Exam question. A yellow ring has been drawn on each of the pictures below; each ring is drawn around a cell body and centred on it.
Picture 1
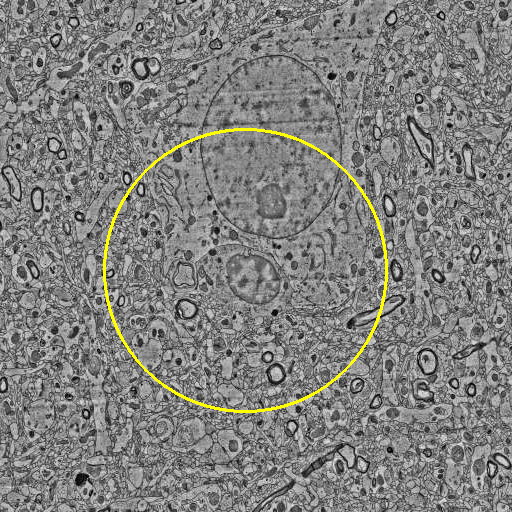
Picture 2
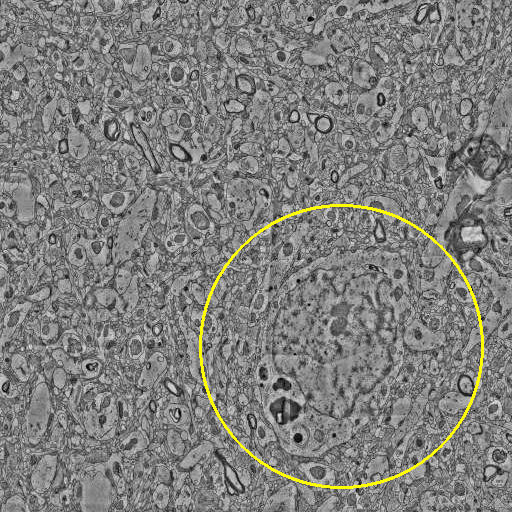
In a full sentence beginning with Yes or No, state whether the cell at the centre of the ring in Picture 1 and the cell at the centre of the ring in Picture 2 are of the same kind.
No, the cells are of two kinds.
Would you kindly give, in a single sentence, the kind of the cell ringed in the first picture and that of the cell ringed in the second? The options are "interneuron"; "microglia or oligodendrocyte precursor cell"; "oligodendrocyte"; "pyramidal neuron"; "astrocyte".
The second cell is an interneuron, and the first cell is an oligodendrocyte.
